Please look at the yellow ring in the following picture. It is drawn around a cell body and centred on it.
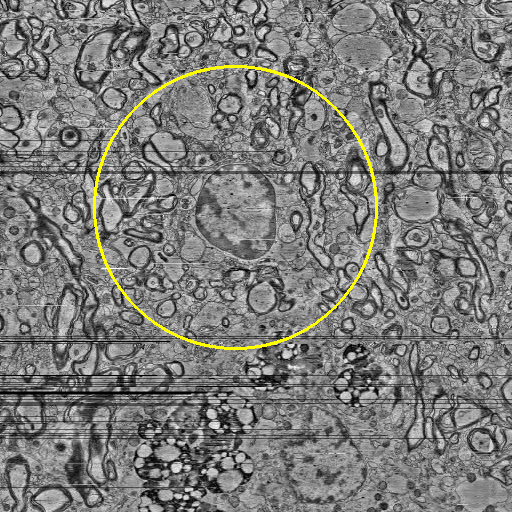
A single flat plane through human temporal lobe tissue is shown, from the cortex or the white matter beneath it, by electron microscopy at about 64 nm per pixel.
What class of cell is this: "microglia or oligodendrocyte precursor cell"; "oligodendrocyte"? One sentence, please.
The ring surrounds the cell body of a microglial cell or oligodendrocyte precursor cell.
